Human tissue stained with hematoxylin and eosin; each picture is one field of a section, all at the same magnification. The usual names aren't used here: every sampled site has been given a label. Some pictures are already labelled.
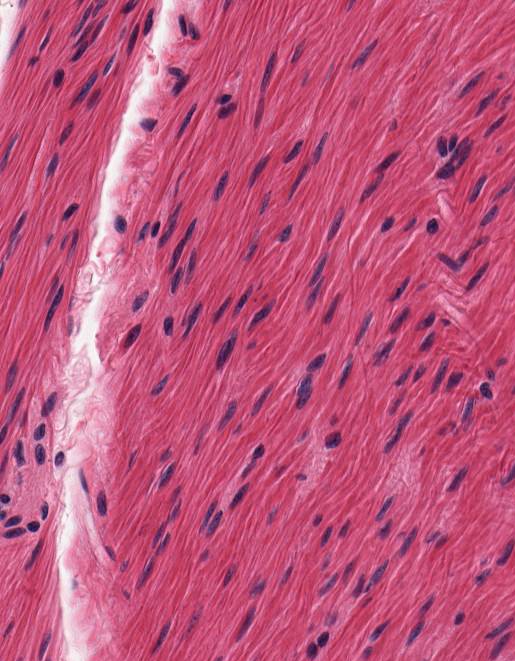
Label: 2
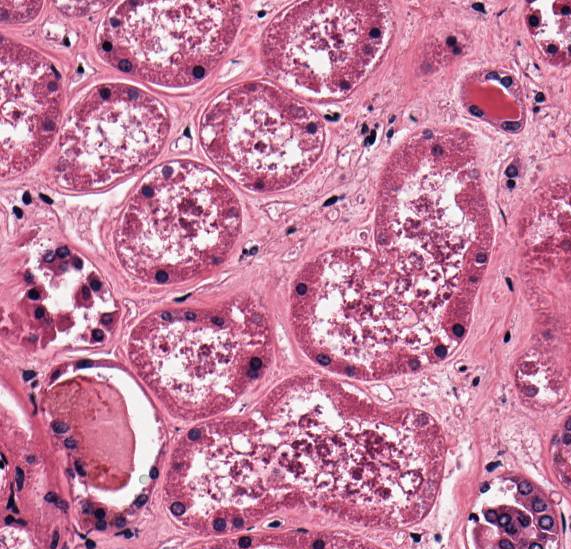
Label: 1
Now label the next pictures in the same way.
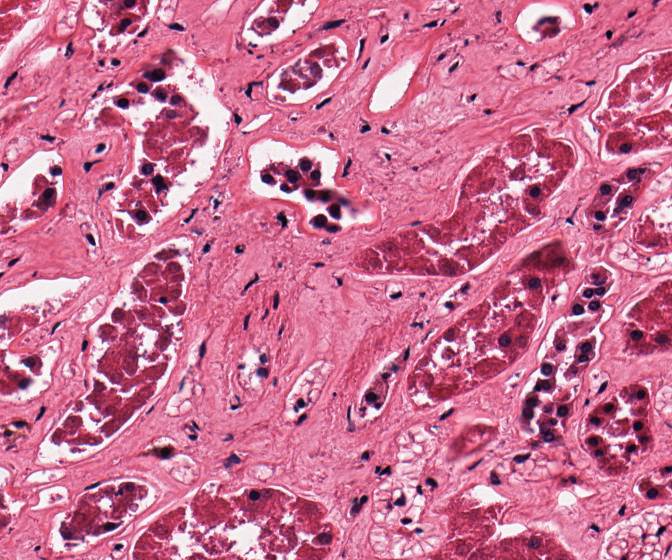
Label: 1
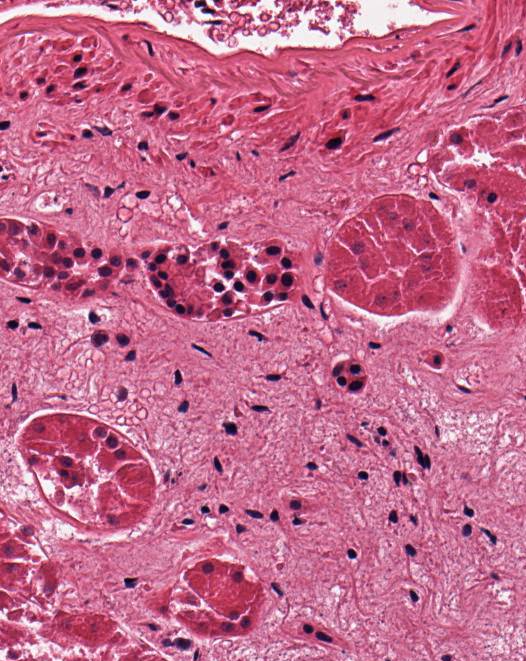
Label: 1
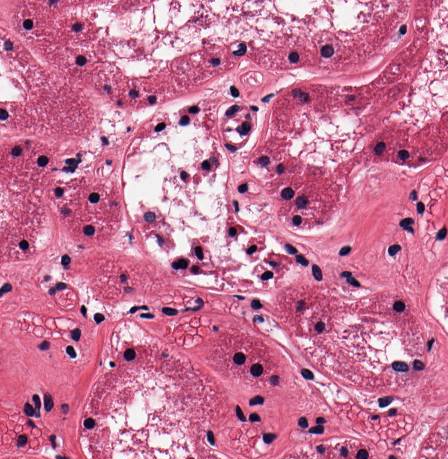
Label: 1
